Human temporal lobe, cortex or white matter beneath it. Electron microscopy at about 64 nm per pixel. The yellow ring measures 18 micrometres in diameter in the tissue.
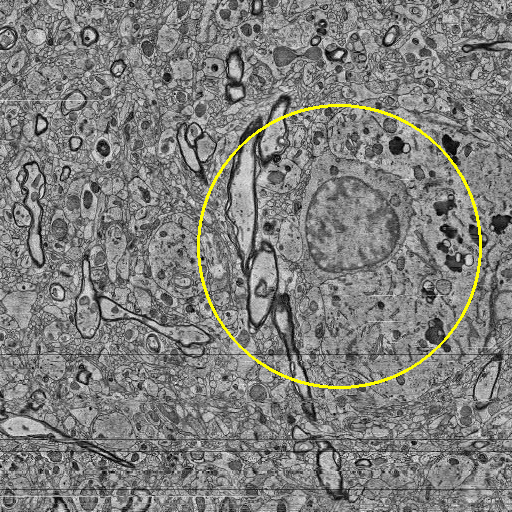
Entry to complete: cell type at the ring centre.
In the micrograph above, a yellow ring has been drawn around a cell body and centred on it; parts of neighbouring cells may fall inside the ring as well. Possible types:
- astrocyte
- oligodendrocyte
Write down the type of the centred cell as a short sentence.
The ring is centred on an oligodendrocyte.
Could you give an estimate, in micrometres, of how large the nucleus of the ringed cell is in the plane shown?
Approximately 6 micrometres across, in this plane.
